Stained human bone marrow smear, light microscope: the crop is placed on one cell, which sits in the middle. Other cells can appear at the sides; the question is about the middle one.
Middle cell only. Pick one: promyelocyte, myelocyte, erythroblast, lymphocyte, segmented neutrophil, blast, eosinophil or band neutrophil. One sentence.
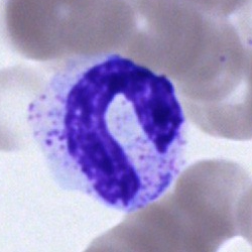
The cell marked by its central position in the crop is a band neutrophil.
